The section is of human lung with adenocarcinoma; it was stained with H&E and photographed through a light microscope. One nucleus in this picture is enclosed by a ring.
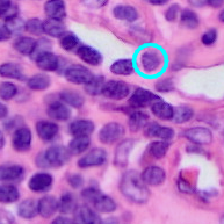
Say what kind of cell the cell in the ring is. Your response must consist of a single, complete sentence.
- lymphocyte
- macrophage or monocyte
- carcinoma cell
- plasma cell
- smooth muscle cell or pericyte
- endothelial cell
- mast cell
It is as a lymphocyte that the cell in the ring is recorded.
